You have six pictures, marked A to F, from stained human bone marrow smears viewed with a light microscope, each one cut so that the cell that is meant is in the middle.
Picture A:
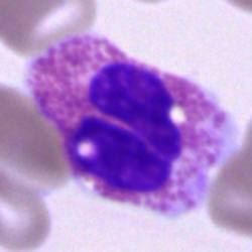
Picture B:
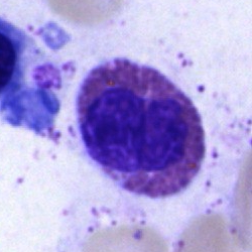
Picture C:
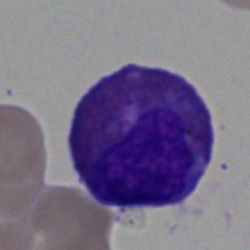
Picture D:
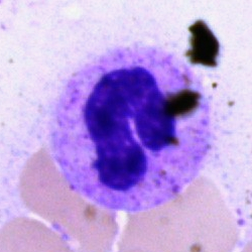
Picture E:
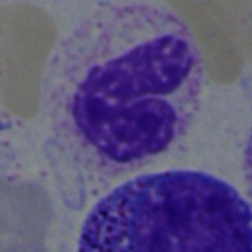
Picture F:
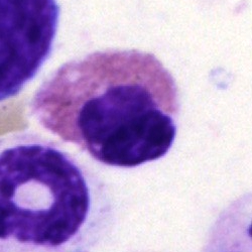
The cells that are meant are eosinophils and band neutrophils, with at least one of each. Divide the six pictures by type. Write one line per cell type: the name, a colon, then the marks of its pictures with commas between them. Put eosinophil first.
eosinophil: A, B, C, F
band neutrophil: D, E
